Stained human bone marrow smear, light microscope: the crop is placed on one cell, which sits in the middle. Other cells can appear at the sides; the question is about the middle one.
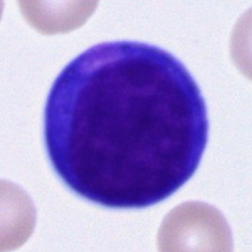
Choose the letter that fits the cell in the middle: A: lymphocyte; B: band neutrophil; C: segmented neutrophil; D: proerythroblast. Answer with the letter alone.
D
